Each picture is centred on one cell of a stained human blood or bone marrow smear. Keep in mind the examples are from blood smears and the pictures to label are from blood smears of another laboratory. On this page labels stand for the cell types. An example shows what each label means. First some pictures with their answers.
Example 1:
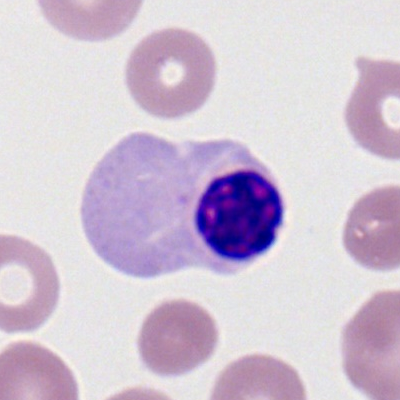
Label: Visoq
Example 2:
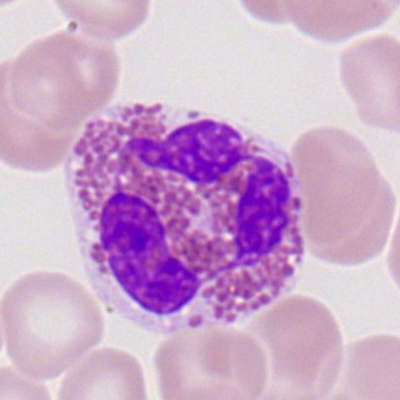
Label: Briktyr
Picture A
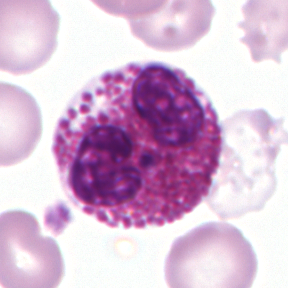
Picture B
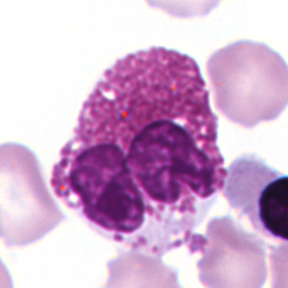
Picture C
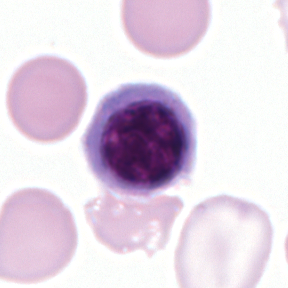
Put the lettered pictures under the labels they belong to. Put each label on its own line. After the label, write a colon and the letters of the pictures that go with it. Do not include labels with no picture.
Visoq: C
Briktyr: A, B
